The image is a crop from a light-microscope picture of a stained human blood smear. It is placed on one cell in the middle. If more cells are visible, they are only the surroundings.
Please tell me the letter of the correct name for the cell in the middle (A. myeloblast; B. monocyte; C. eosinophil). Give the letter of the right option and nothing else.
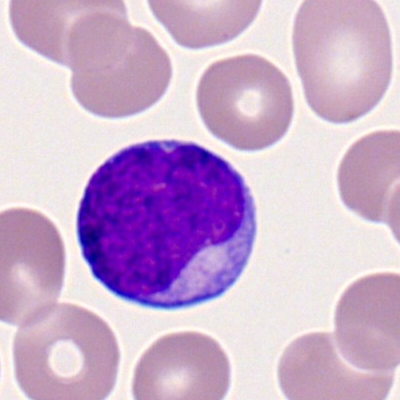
A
